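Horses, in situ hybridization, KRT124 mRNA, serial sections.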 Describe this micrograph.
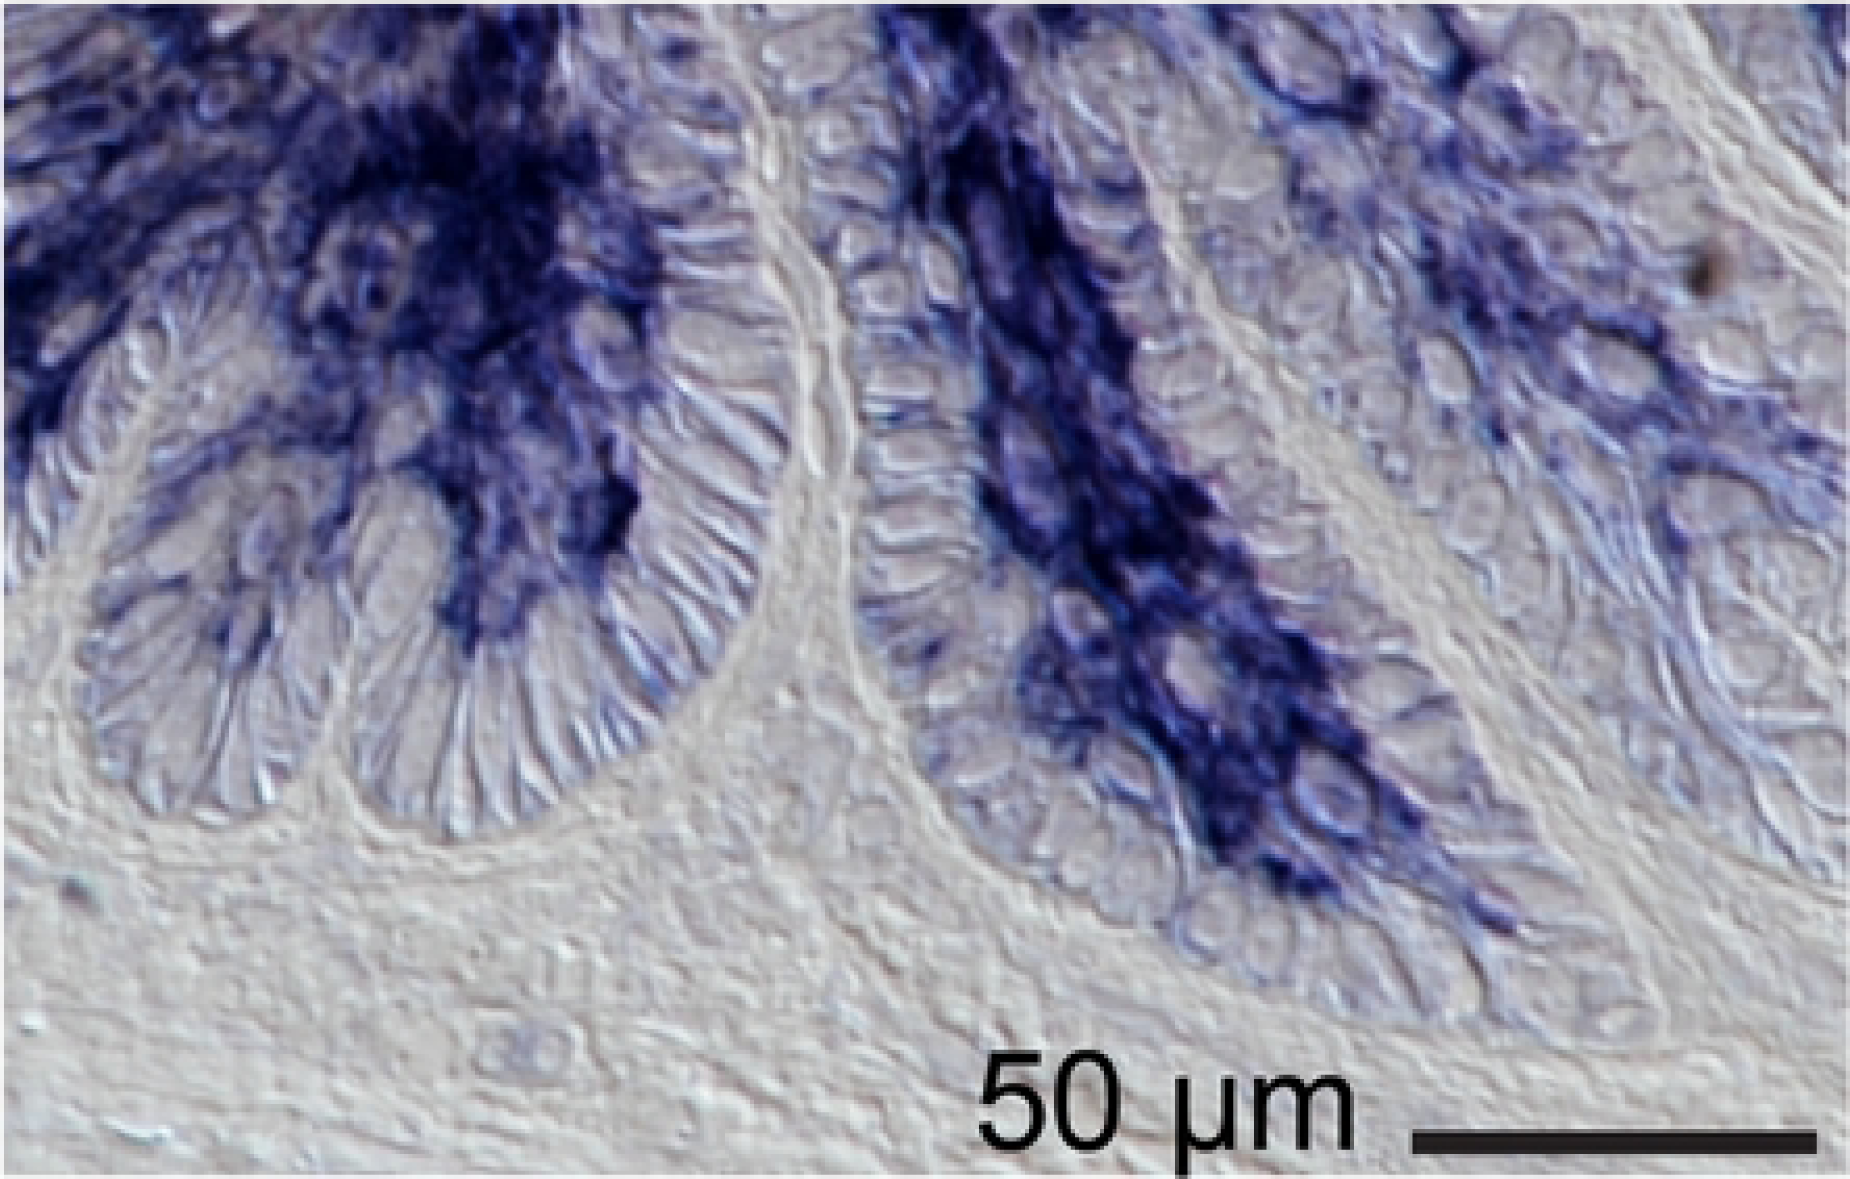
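These are epidermal lamellae of the hoof, with dense blue stain filling their suprabasal layers. Each fold has an outer palisade of tall columnar basal cells that remain pale, arranged radially around the edge. Inside this rim the central cells are intensely dark blue, forming a stained core that runs along the length of each fold. Thin pale connective tissue separates neighbouring folds.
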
